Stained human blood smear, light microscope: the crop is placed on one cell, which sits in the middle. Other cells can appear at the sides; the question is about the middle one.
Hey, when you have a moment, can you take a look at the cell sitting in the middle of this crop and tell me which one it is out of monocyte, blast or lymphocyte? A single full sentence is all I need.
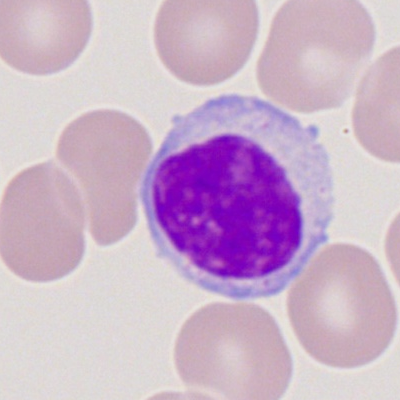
By type, the central cell of the crop is a lymphocyte.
